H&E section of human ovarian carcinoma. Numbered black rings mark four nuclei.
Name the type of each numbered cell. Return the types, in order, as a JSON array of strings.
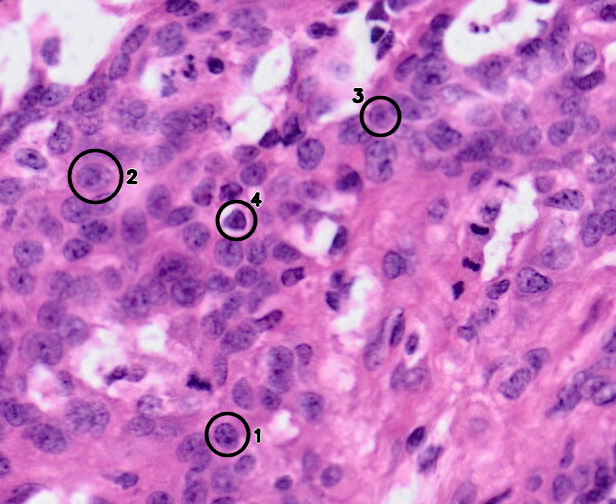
["macrophage or monocyte", "carcinoma cell", "carcinoma cell", "carcinoma cell"]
